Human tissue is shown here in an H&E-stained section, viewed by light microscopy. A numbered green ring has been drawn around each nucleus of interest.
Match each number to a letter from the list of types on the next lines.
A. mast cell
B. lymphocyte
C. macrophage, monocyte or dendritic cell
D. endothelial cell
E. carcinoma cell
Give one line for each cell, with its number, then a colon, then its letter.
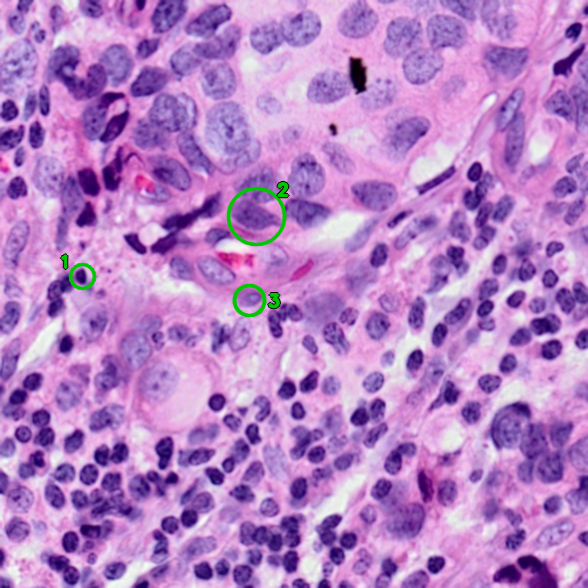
1: B
2: E
3: D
